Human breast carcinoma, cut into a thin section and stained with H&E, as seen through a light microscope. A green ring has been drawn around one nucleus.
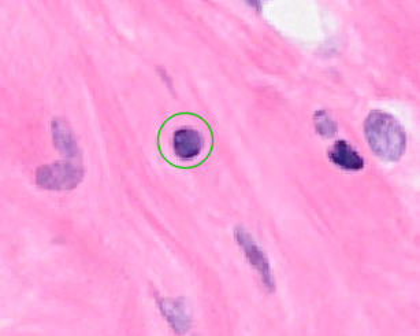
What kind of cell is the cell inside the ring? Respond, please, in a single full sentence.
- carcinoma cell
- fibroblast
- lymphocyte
Labelled by cell type, the cell inside the ring is a lymphocyte.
